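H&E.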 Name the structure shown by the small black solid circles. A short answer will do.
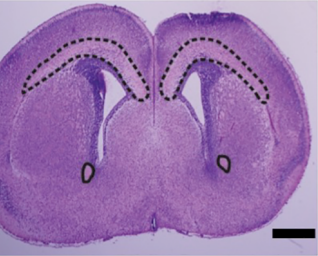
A: Anterior commissures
